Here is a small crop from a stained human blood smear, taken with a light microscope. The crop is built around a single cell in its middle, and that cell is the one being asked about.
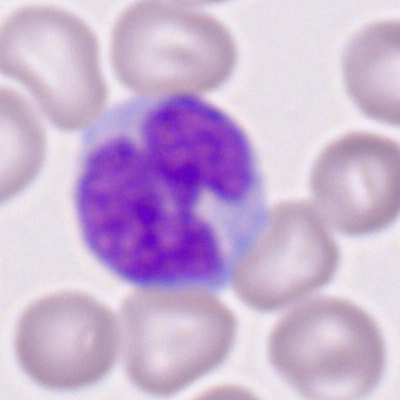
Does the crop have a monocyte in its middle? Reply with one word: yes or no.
yes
